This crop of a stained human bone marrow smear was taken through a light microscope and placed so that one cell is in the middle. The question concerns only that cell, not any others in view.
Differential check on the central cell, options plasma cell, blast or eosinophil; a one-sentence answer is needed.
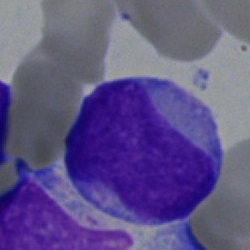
The crop shows a blast in its centre.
